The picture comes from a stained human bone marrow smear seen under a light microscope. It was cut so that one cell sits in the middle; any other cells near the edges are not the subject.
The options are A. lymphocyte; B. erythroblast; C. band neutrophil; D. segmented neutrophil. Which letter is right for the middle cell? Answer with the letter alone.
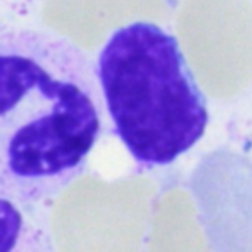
A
